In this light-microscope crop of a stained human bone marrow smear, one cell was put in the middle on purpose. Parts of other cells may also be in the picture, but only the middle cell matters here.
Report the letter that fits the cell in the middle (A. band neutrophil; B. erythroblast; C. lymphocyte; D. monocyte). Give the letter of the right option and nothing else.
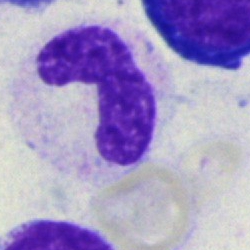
A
